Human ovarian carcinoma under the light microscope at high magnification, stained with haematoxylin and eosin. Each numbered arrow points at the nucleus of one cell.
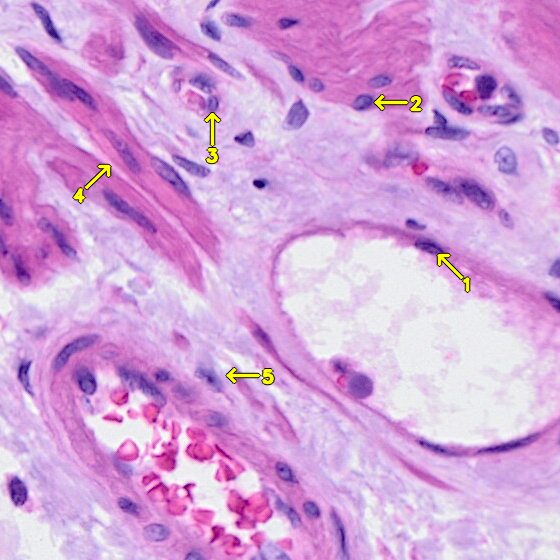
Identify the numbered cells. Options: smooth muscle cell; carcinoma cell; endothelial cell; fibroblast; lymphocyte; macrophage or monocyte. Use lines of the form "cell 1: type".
cell 1: endothelial cell
cell 2: smooth muscle cell
cell 3: endothelial cell
cell 4: smooth muscle cell
cell 5: fibroblast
